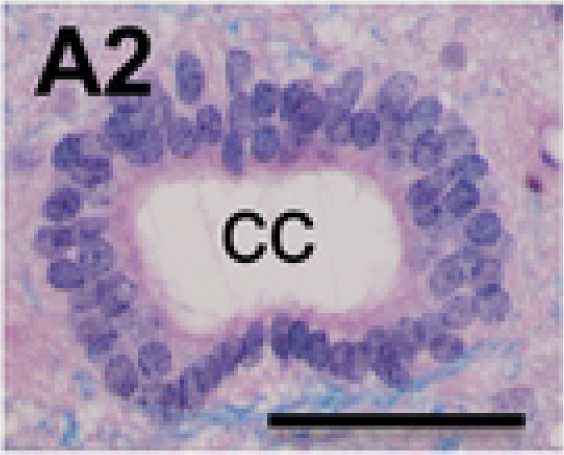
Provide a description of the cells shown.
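An empty oval lumen is ringed by a continuous layer of closely packed cells with oval, dark purple nuclei and pale pinkish cytoplasm facing the lumen, with a few blue-stained fibres in the surrounding tissue. These are the ependymal cells lining the central canal of the spinal cord.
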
